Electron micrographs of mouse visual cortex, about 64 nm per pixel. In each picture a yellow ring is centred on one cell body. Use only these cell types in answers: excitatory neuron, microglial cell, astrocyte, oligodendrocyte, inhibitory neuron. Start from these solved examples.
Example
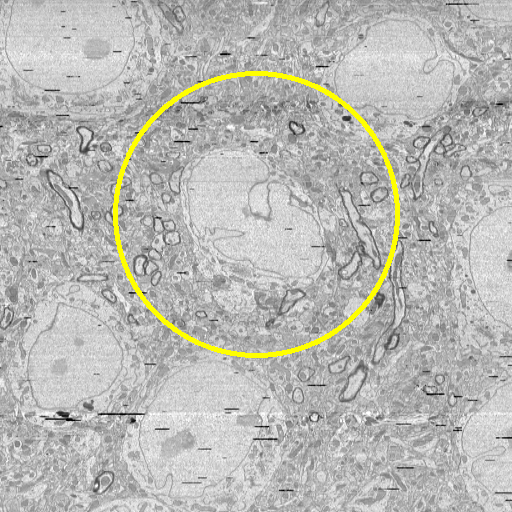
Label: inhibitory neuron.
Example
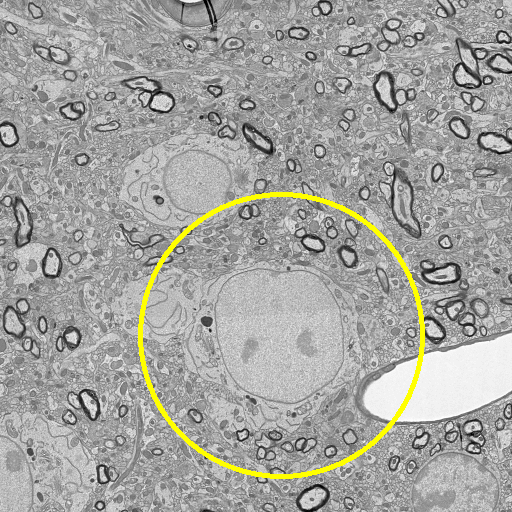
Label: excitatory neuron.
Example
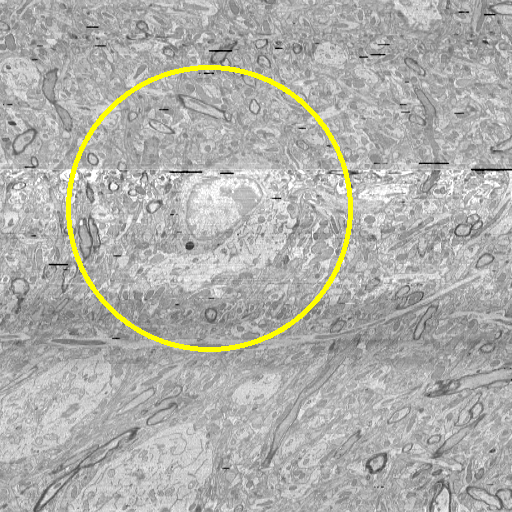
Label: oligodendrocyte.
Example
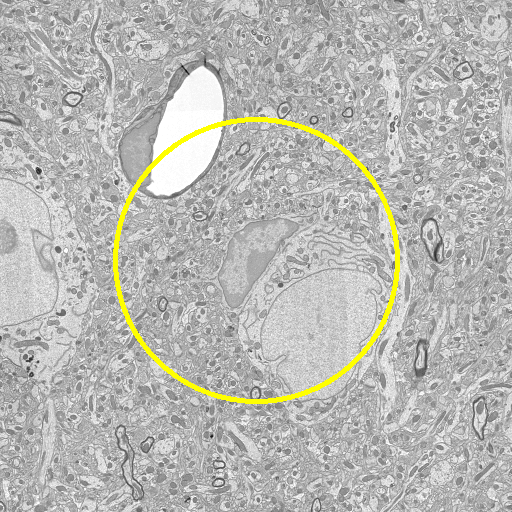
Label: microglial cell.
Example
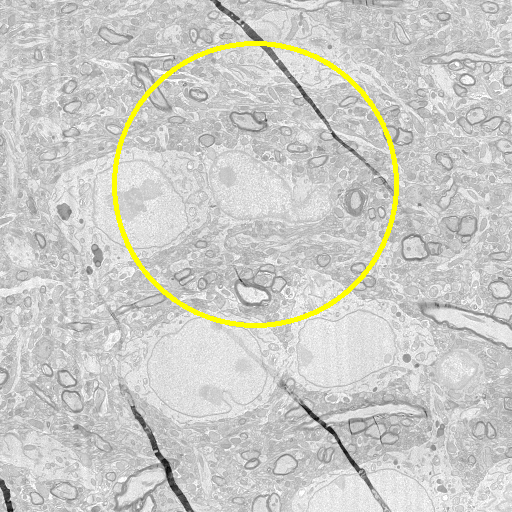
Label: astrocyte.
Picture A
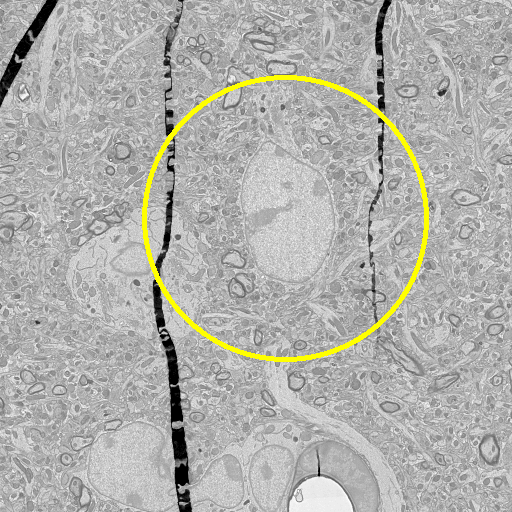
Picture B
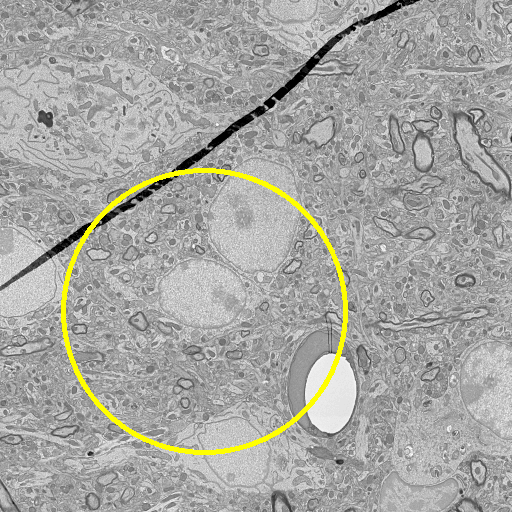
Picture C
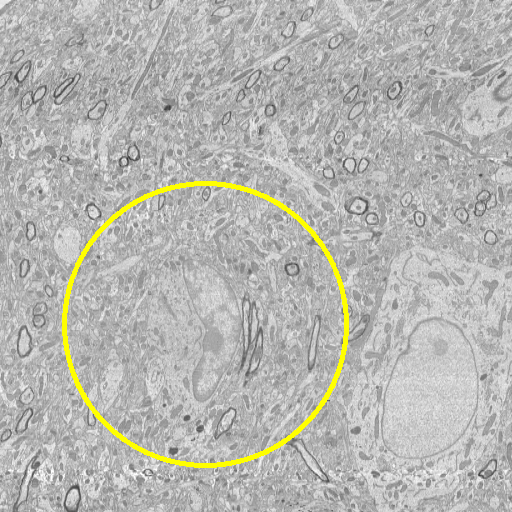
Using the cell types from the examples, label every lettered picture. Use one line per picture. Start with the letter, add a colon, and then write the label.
A: astrocyte.
B: astrocyte.
C: oligodendrocyte.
